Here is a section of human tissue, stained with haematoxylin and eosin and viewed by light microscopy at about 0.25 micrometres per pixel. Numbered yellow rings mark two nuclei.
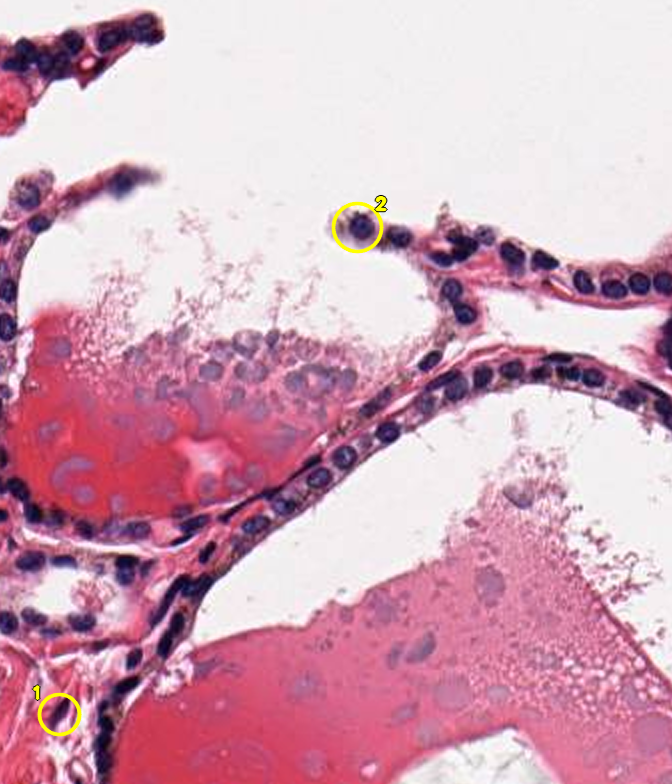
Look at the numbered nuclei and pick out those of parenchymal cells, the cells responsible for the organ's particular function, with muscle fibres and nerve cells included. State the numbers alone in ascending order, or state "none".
2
